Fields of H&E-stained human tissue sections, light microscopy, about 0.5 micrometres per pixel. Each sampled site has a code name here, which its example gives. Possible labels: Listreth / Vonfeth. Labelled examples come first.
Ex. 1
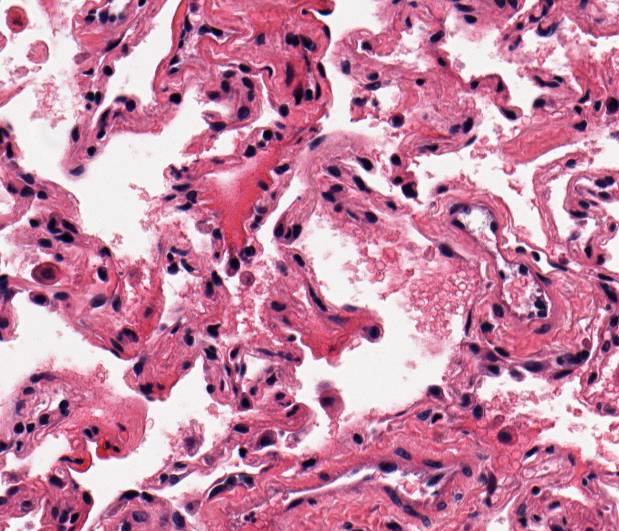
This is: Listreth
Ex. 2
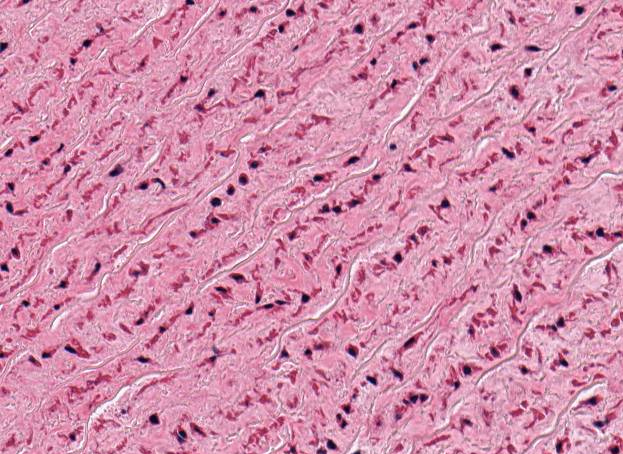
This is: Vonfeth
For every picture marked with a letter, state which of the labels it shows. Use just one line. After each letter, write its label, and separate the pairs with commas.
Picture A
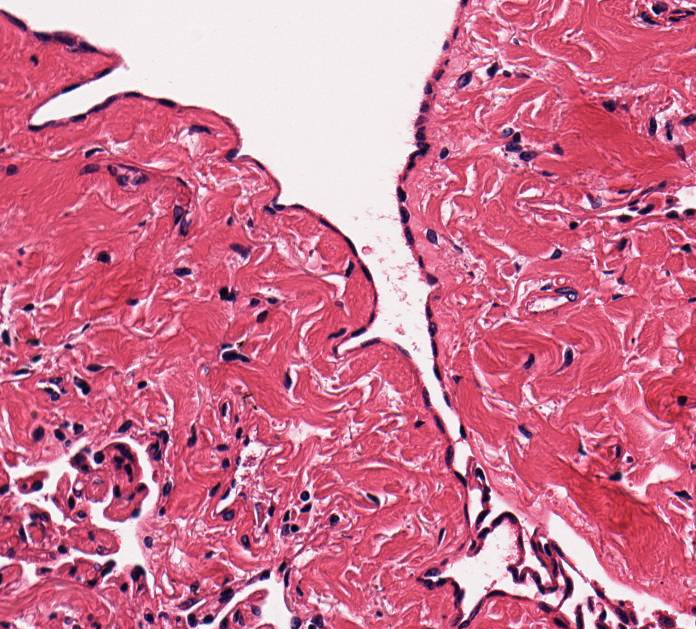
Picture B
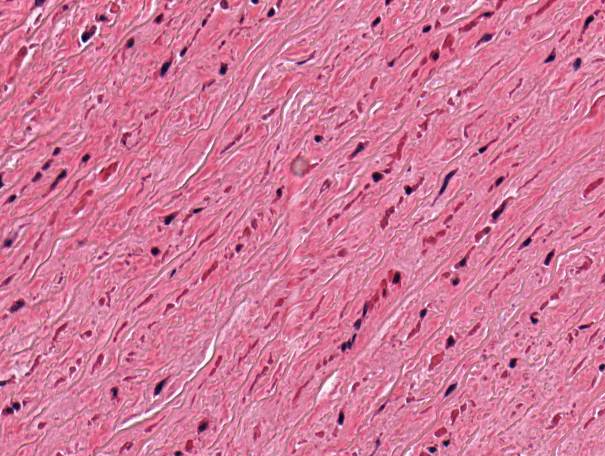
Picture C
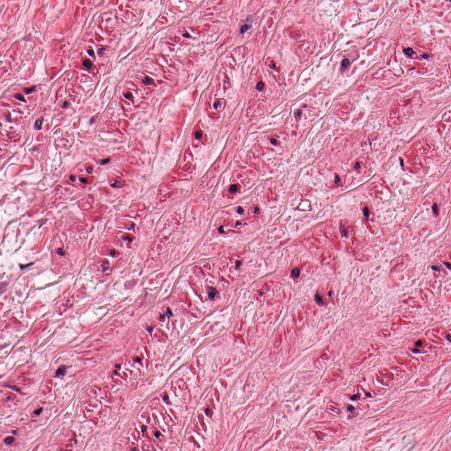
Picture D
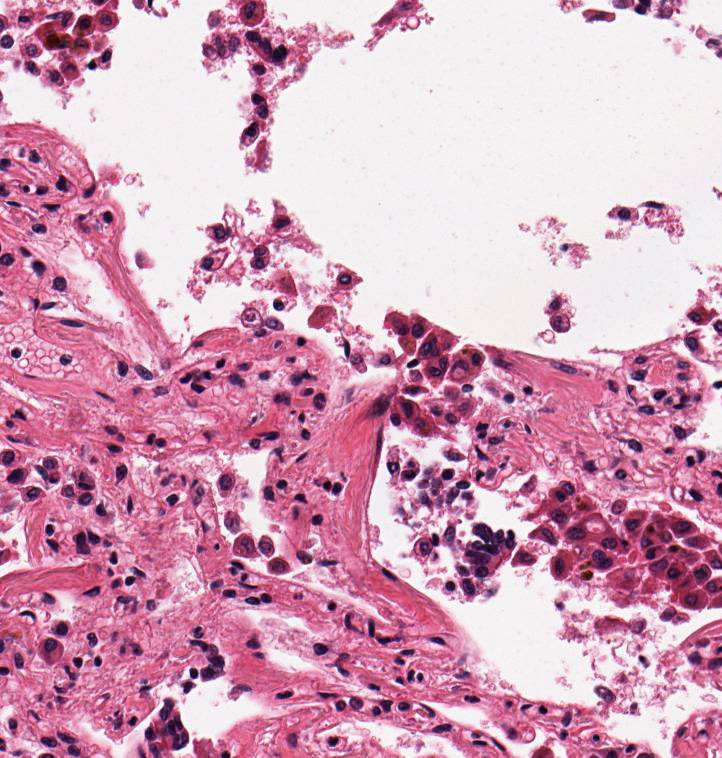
A Listreth, B Vonfeth, C Vonfeth, D Listreth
